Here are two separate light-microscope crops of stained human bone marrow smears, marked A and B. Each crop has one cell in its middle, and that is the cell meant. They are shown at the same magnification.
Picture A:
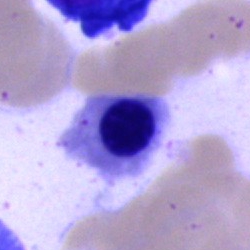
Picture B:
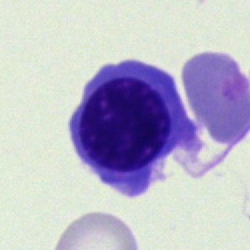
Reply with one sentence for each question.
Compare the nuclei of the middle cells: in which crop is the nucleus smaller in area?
It is the nucleus in picture A; the one in picture B has about 3 times its area.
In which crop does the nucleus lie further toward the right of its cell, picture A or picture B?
It is the nucleus in picture A that lies further toward the right of its cell.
